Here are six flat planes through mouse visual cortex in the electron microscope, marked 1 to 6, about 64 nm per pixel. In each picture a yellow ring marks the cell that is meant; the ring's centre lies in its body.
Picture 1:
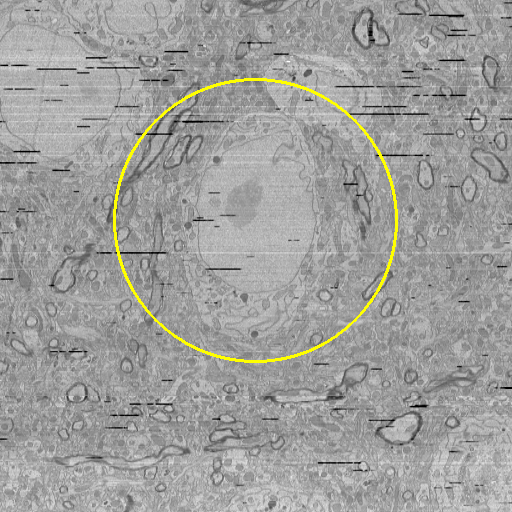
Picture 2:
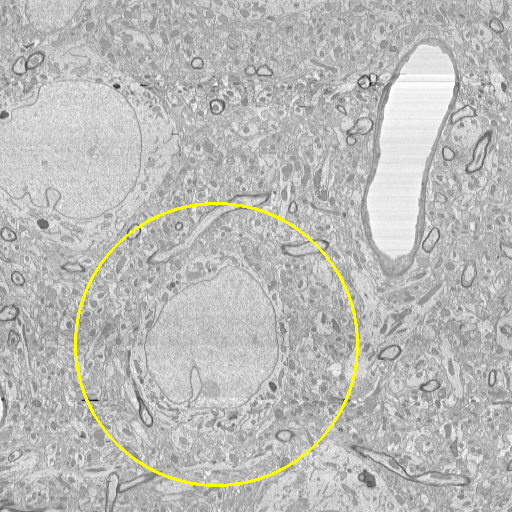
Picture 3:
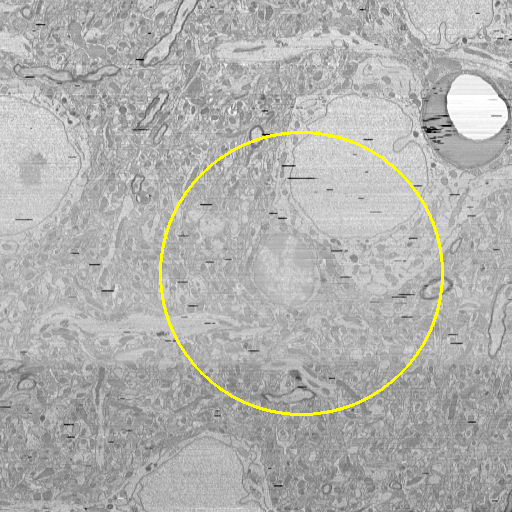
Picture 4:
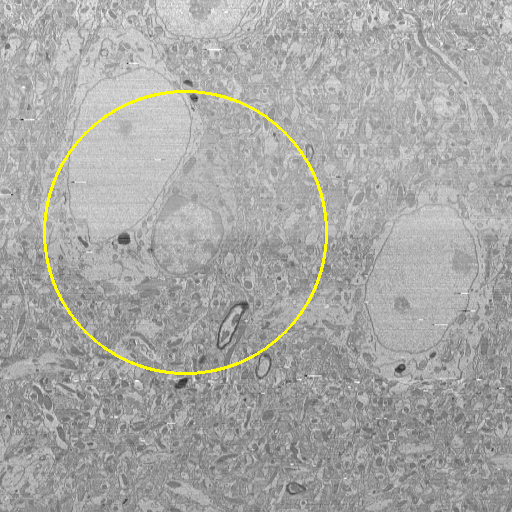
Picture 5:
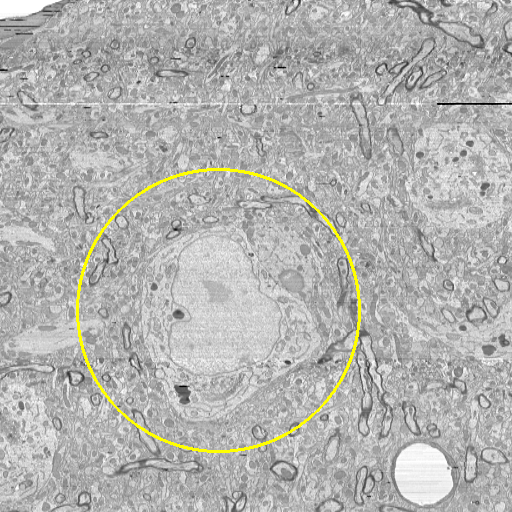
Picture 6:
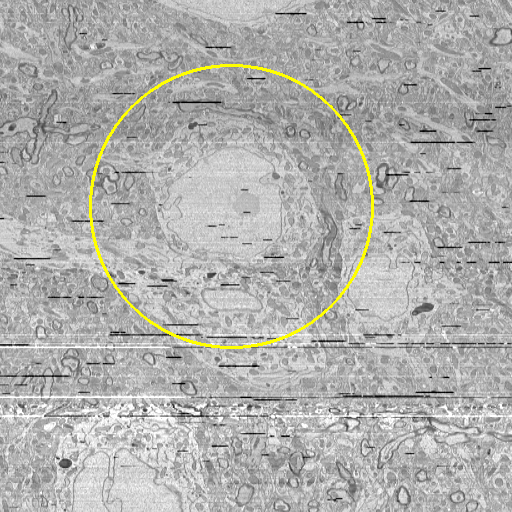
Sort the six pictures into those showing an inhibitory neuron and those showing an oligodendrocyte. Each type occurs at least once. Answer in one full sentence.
Pictures 1, 2, 5 and 6 show inhibitory neurons; pictures 3 and 4 show oligodendrocytes.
